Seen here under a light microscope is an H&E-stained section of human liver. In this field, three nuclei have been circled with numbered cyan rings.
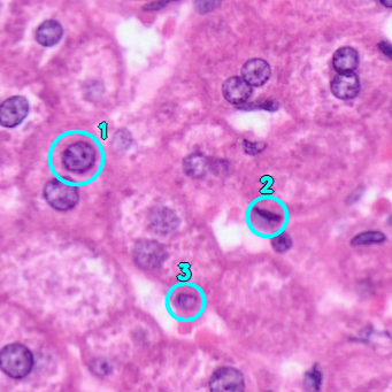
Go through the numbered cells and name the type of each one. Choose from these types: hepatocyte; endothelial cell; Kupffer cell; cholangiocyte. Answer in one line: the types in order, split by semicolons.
hepatocyte; endothelial cell; Kupffer cell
